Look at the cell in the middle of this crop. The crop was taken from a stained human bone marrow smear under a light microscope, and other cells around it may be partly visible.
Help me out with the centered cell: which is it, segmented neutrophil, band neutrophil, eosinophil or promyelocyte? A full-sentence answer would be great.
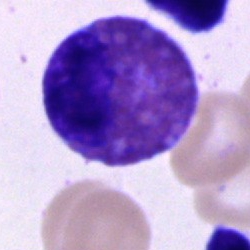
The cell around which this crop is centred is an eosinophil.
